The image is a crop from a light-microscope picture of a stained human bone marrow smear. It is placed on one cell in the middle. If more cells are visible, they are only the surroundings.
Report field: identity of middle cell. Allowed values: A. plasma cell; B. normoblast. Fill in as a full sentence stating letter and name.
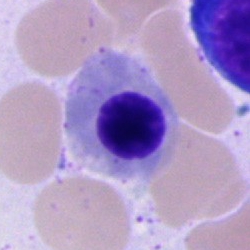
Well, the cell in the middle is a normoblast, making option B right.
